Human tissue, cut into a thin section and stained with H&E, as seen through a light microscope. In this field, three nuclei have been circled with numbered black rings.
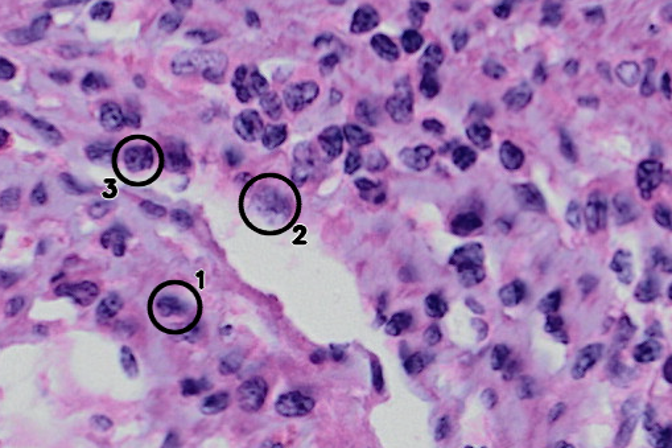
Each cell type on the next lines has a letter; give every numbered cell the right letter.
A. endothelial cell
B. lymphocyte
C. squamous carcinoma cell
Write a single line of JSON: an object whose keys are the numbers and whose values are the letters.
{"1": "B", "2": "A", "3": "B"}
